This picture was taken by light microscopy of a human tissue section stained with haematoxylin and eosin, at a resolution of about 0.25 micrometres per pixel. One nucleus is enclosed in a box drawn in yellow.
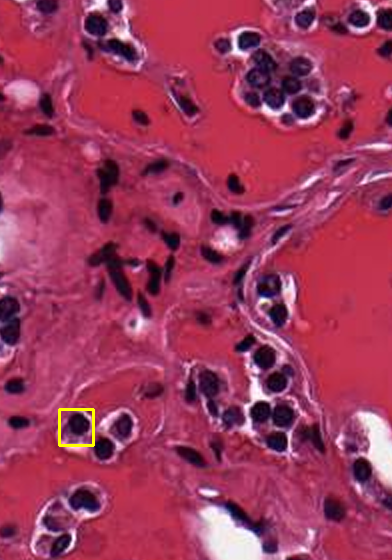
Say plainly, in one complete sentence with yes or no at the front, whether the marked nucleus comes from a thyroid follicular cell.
Yes, the marked nucleus, in this picture, is that of a thyroid follicular cell.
